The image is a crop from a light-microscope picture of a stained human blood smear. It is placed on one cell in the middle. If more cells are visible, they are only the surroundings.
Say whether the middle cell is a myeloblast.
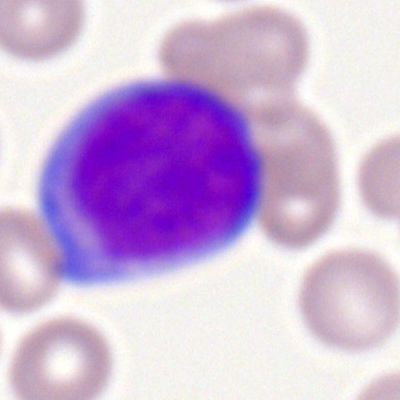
yes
